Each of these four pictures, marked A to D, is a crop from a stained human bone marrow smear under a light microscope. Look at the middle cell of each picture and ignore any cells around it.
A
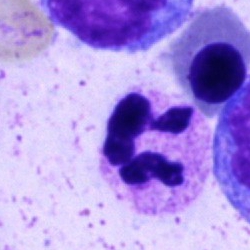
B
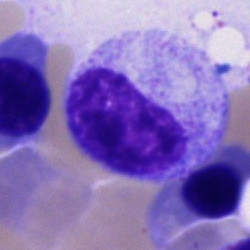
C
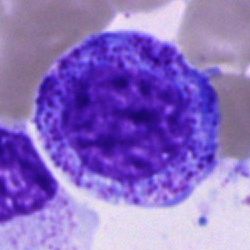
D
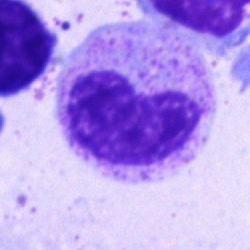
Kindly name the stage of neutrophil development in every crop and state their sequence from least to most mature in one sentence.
Least to most mature, the crops are crop C (a promyelocyte), crop B (a myelocyte), crop D (a metamyelocyte) and crop A (a segmented neutrophil).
